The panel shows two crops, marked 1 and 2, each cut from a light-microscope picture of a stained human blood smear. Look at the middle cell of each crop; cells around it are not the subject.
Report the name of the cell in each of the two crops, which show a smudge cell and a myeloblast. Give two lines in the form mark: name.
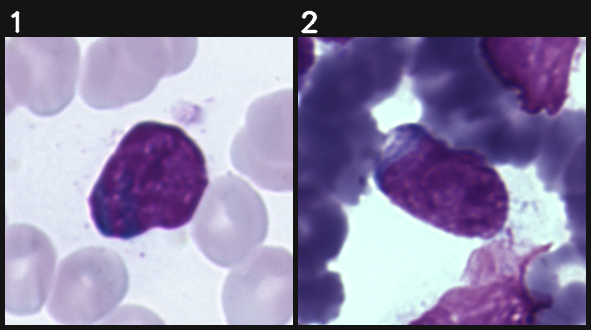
1: smudge cell
2: myeloblast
